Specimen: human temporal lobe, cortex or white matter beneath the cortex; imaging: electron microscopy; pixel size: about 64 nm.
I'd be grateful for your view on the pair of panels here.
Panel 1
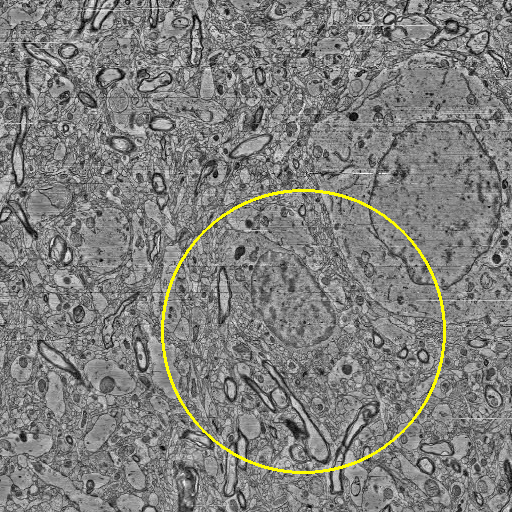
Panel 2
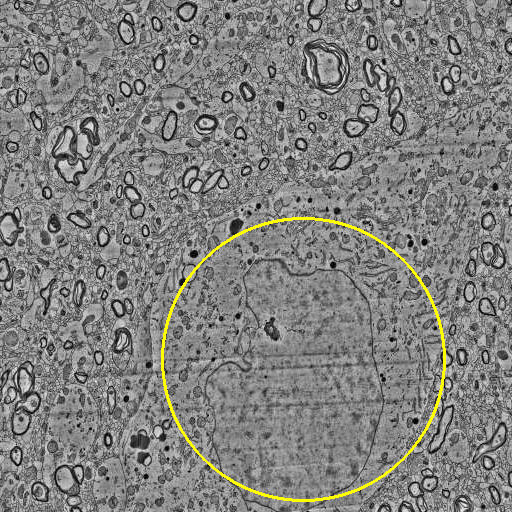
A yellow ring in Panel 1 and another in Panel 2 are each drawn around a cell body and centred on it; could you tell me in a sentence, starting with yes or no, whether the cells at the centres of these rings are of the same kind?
No, they are two kinds of cell.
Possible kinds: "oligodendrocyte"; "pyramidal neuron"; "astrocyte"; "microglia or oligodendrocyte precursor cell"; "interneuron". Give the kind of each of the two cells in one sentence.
The cell in the second picture is a pyramidal neuron, and that in the first is an oligodendrocyte.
